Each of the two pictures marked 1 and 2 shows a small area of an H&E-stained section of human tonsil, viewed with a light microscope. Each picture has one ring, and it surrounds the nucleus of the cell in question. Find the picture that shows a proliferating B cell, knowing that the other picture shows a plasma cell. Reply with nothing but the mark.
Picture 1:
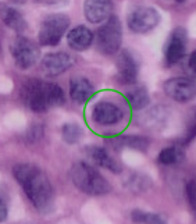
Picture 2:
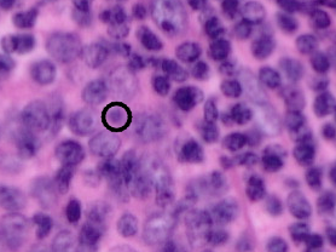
2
